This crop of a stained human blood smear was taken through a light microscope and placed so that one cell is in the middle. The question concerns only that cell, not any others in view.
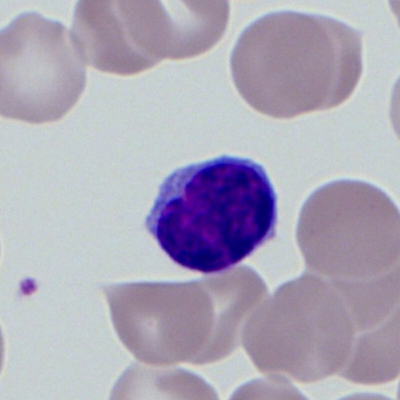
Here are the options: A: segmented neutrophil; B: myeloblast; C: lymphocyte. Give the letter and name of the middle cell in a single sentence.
Option C is correct; the cell in the middle is a lymphocyte.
